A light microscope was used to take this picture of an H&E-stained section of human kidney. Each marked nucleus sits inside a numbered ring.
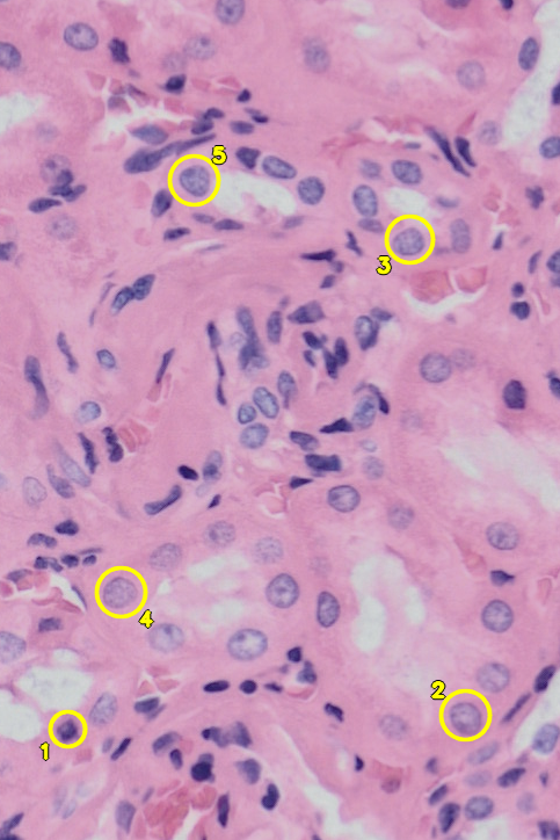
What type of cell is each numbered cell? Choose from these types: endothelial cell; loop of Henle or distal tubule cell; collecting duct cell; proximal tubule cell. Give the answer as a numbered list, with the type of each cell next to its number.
1. loop of Henle or distal tubule cell
2. proximal tubule cell
3. collecting duct cell
4. proximal tubule cell
5. collecting duct cell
